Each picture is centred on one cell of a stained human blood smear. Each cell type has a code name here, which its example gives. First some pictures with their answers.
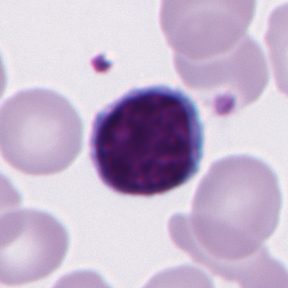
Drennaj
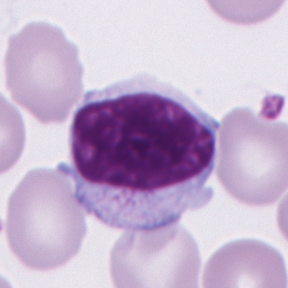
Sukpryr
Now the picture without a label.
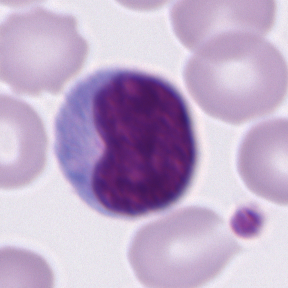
Drennaj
